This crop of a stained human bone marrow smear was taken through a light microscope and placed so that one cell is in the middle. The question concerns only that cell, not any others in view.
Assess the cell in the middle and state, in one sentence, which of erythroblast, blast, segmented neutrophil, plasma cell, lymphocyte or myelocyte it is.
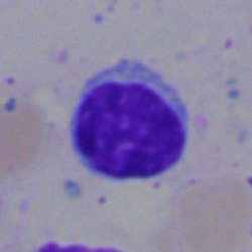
The central cell shown in this smear crop is a lymphocyte.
